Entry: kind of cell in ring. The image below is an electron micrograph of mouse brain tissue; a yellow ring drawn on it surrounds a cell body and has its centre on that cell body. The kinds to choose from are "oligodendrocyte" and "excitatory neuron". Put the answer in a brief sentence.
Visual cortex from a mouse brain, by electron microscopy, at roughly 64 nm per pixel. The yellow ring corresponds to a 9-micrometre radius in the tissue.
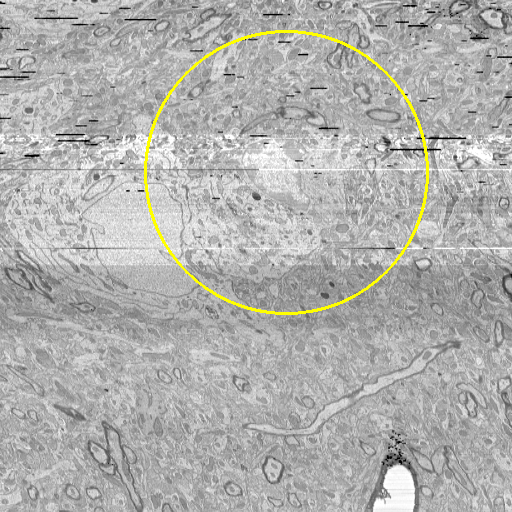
The ring has been drawn around an oligodendrocyte.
